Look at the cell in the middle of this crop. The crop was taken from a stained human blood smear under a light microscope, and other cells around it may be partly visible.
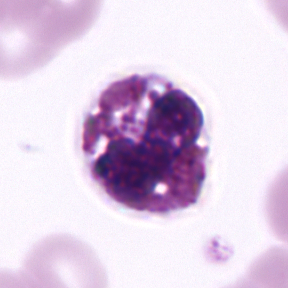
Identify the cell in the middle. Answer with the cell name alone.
eosinophil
